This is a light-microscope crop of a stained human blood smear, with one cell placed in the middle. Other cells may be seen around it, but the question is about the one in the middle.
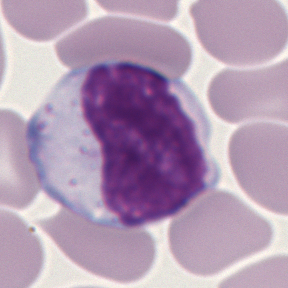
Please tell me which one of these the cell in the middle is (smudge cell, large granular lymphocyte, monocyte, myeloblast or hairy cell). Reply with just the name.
large granular lymphocyte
